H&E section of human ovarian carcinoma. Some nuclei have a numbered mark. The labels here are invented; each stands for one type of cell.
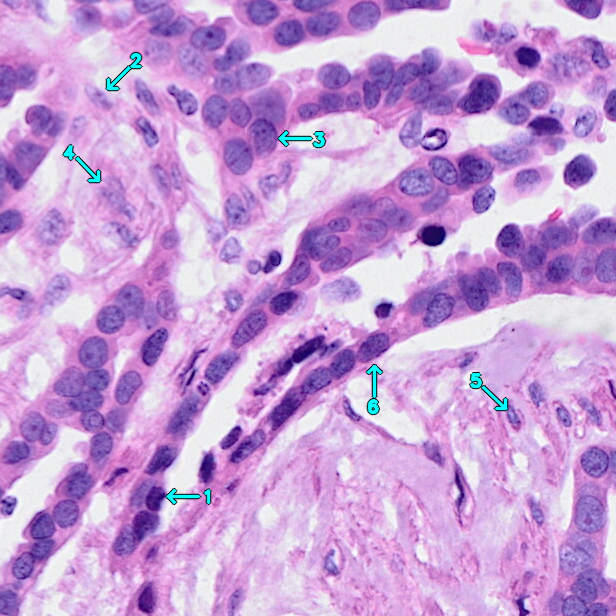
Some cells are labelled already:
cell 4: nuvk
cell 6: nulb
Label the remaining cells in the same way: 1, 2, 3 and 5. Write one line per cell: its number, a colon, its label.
1: nulb
2: nuvk
3: nulb
5: nuvk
